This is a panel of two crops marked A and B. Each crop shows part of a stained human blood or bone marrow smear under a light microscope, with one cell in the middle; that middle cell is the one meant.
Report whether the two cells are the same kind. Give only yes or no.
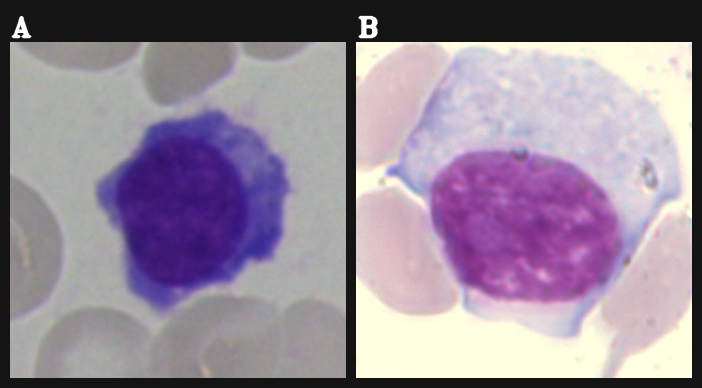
yes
